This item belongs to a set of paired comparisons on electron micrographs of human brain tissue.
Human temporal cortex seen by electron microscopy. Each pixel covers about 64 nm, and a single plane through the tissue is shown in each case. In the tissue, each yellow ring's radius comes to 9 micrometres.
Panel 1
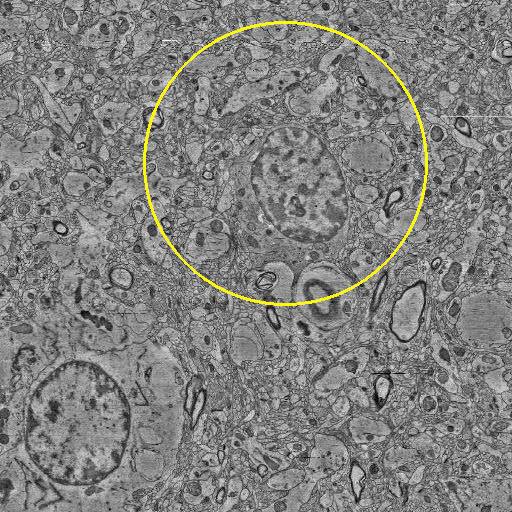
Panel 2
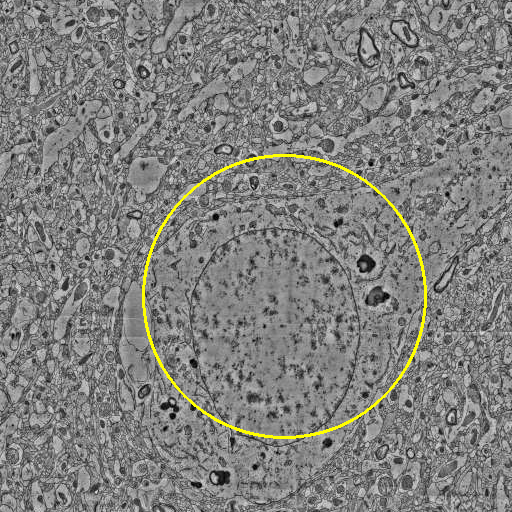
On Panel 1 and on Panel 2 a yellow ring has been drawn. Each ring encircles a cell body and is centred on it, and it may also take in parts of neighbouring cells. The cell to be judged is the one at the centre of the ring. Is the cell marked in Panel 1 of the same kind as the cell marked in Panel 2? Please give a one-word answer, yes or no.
no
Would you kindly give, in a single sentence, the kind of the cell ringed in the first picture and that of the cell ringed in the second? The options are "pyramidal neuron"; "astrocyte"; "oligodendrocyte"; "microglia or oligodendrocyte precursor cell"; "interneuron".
The second cell is a pyramidal neuron, and the first cell is an oligodendrocyte.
